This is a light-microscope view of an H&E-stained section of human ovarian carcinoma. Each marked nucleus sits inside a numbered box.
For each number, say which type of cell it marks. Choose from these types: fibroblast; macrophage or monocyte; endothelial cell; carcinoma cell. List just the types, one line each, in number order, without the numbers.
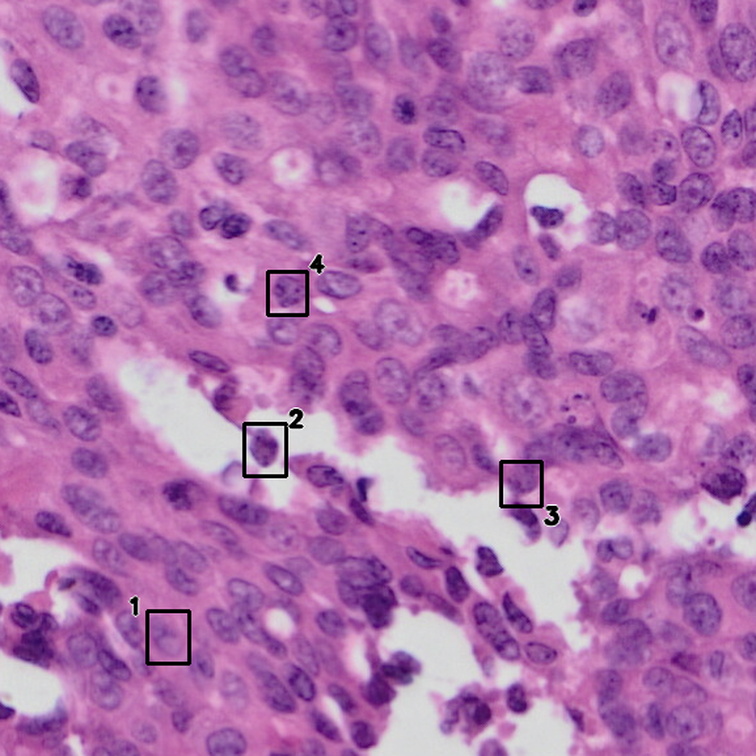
carcinoma cell
carcinoma cell
carcinoma cell
macrophage or monocyte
